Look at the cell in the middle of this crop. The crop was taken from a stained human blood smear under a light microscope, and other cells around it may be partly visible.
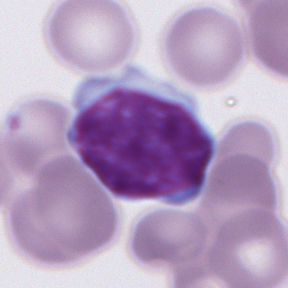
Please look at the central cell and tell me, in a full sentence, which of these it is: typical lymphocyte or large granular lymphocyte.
The cell at the central position in this crop is a typical lymphocyte.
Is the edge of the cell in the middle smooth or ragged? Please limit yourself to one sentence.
An uneven margin is present, with either ragged stretches or outward projections.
